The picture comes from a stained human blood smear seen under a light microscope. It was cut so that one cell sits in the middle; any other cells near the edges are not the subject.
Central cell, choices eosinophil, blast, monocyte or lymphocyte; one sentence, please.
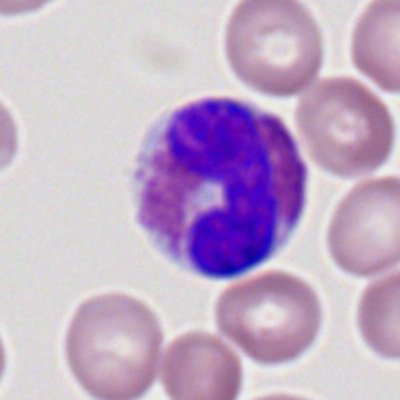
The identification for the central cell is an eosinophil.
